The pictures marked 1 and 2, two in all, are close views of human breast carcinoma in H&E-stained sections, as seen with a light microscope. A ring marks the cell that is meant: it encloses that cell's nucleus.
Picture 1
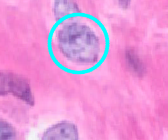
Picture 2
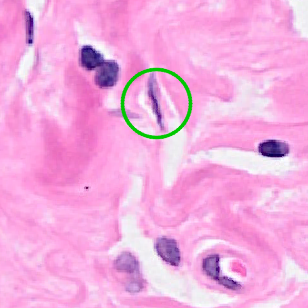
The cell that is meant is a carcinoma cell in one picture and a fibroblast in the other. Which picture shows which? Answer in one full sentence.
In picture 1 the cell is a carcinoma cell; in picture 2, a fibroblast.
